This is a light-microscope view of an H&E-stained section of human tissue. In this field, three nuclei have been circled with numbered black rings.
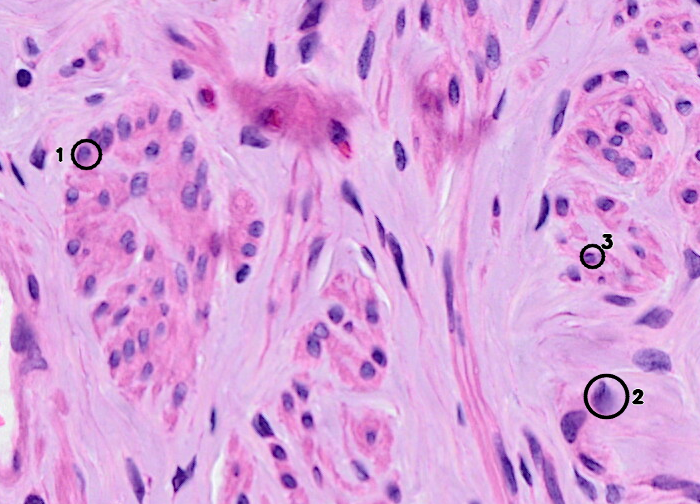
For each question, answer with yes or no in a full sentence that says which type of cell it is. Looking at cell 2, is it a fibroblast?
Yes, the number 2 belongs to a fibroblast.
